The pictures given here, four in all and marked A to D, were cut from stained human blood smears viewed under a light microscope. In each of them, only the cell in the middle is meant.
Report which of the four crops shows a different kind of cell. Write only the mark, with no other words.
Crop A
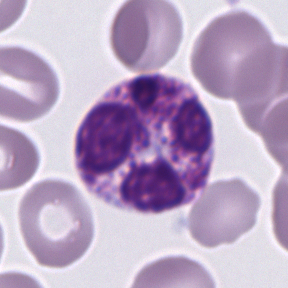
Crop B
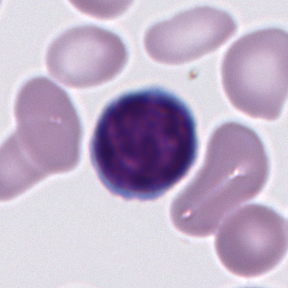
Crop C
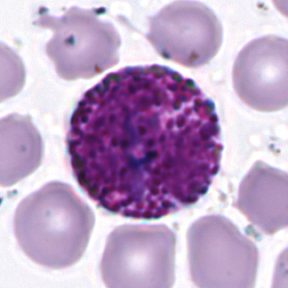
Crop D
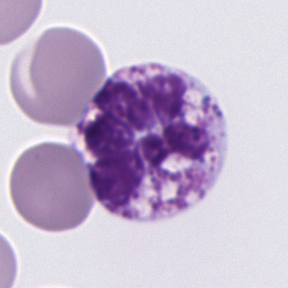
B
